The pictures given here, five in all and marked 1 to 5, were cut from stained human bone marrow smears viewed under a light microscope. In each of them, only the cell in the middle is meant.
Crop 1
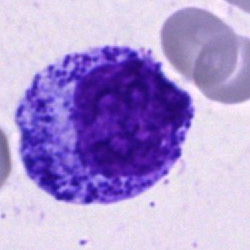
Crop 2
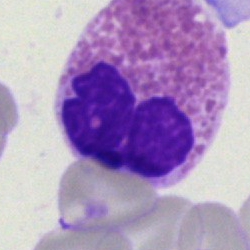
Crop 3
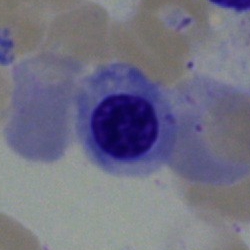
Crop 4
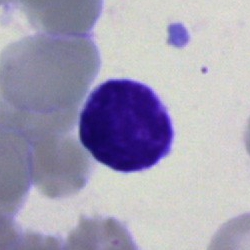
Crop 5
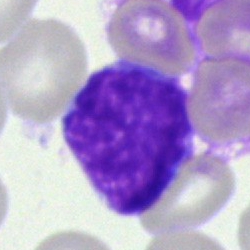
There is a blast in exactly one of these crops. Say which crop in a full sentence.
The crop in which a blast is shown is crop 5.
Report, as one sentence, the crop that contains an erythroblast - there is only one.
The one showing an erythroblast is crop 3.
